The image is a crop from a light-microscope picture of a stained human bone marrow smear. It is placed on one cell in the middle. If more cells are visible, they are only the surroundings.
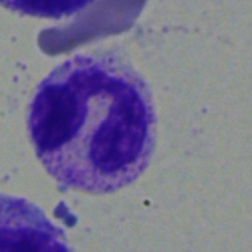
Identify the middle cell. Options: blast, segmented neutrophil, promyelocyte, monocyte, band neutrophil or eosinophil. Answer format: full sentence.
Whatever else lies nearby, the middle cell is a segmented neutrophil.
